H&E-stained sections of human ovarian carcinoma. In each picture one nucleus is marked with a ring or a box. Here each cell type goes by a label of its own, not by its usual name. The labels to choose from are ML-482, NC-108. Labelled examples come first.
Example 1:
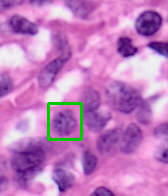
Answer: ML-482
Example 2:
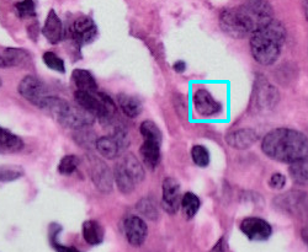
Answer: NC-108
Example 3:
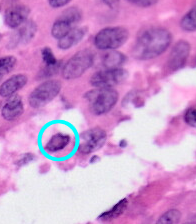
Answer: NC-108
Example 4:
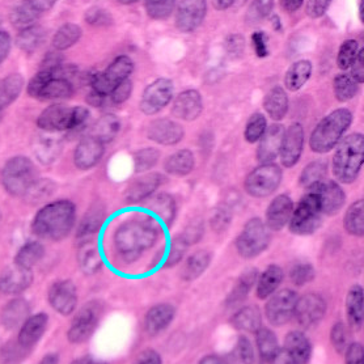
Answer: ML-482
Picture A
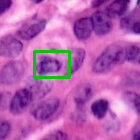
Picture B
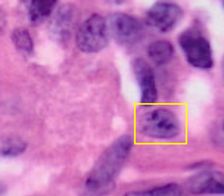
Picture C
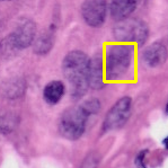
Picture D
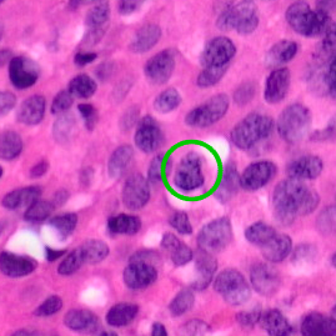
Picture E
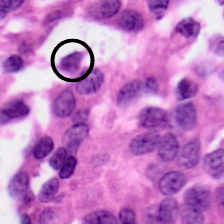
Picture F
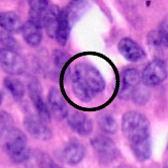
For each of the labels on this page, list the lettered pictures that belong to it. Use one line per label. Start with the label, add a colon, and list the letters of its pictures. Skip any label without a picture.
ML-482: C, E, F
NC-108: A, B, D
